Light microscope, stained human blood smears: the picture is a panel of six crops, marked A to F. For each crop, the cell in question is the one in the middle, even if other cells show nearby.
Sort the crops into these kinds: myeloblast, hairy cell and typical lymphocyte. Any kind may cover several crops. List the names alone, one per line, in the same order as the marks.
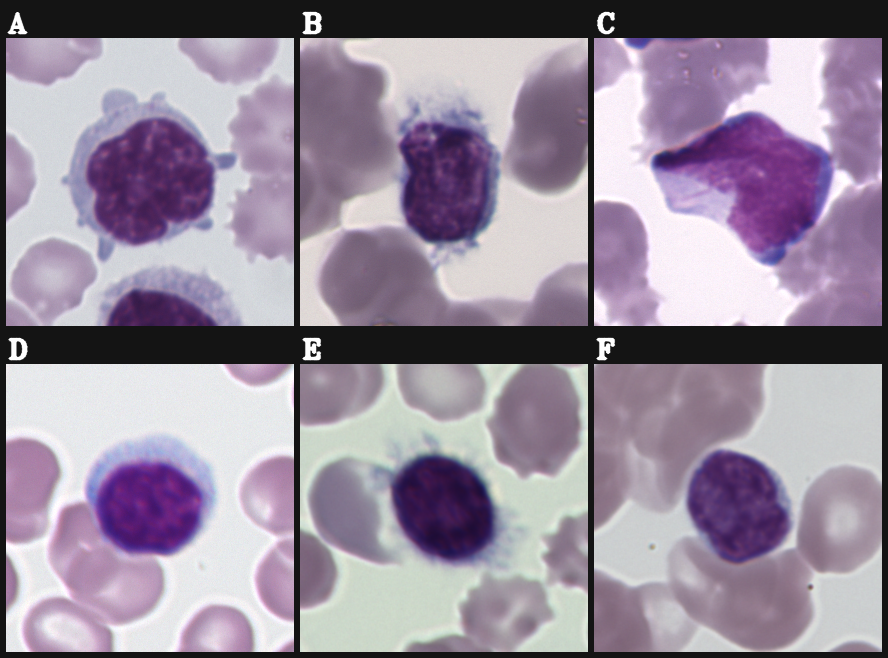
typical lymphocyte
hairy cell
myeloblast
typical lymphocyte
hairy cell
typical lymphocyte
